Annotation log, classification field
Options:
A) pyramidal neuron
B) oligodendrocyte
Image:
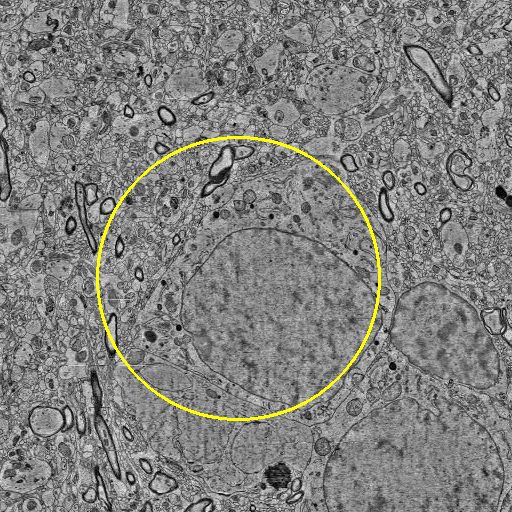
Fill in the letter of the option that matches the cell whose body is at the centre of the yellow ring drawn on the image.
A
